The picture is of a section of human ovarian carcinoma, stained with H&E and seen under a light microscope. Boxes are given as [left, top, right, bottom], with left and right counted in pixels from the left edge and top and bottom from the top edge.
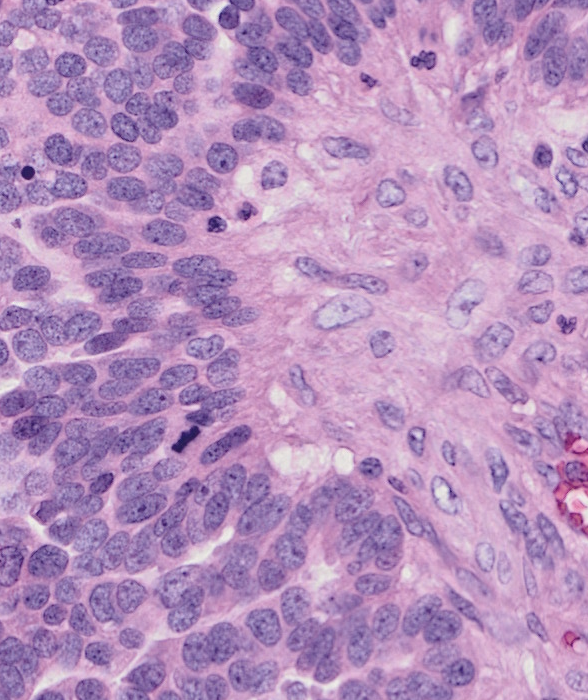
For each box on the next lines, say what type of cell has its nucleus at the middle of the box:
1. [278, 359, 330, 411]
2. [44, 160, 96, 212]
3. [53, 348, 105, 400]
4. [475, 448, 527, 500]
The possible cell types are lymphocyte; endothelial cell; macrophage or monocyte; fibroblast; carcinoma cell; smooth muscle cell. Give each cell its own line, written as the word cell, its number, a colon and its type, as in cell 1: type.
cell 1: fibroblast
cell 2: carcinoma cell
cell 3: carcinoma cell
cell 4: fibroblast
